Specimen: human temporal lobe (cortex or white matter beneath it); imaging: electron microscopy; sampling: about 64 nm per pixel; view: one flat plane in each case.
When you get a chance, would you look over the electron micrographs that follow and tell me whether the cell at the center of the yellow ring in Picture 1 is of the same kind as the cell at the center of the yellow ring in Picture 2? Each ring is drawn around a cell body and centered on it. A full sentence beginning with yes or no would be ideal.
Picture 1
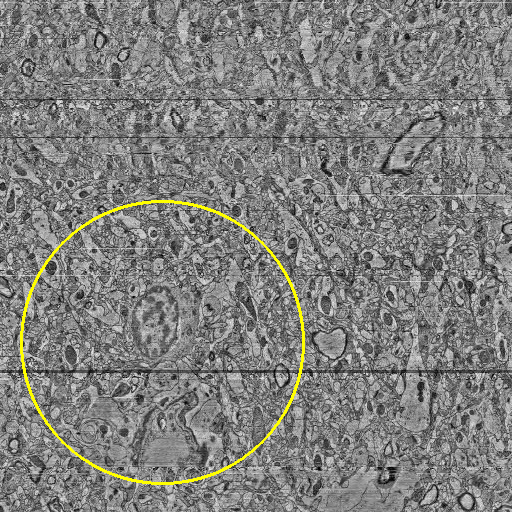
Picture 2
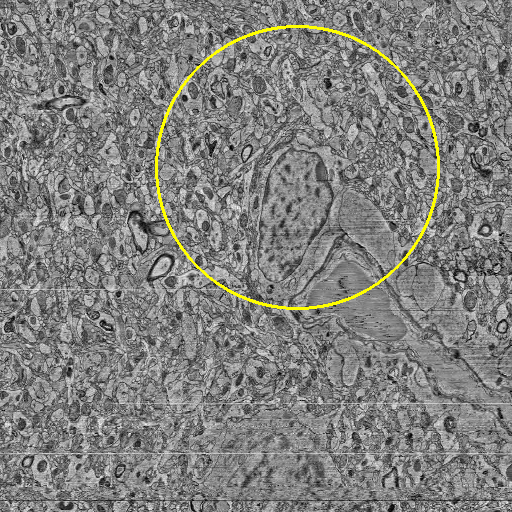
No, they are two kinds of cell.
